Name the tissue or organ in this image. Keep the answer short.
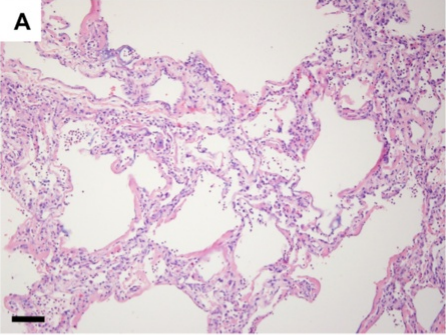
Lung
